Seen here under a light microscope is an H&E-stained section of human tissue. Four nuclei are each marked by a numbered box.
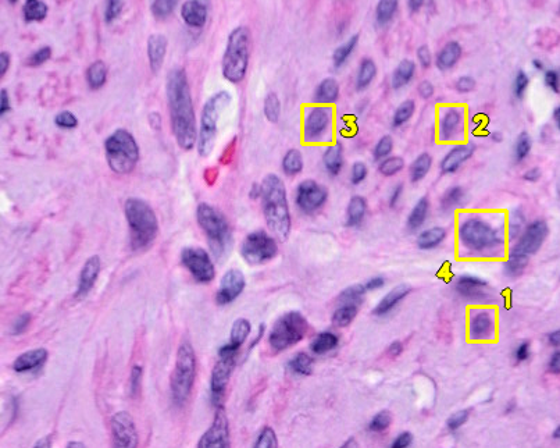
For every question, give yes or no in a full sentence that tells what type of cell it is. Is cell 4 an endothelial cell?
Yes, cell 4 among the marked cells is an endothelial cell.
